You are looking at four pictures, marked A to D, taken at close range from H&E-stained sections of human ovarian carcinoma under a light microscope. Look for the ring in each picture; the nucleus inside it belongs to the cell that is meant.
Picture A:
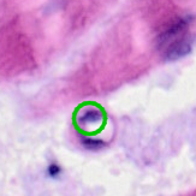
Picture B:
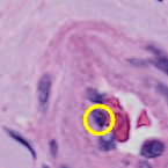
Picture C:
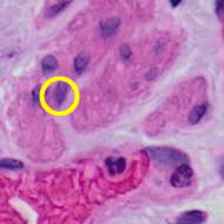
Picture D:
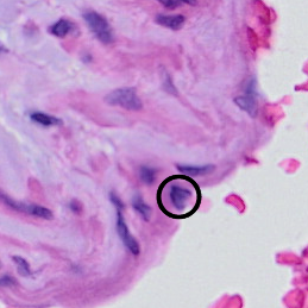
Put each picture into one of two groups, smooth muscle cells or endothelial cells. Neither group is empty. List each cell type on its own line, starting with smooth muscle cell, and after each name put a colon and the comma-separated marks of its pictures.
smooth muscle cell: C
endothelial cell: A, B, D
